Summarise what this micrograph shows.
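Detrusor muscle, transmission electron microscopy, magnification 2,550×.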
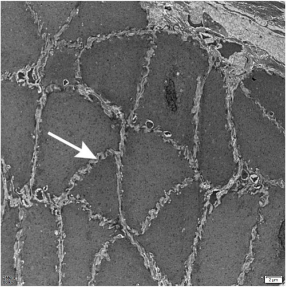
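Many cell profiles are cut across and packed side by side like tiles, each roughly polygonal and filled with even, finely textured grey cytoplasm without any banding. Thin pale clefts with wavy, beaded membranes separate neighbouring cells, making a net-like pattern across the field. One profile contains a dark oval nucleus; most others are cut beside their nuclei. Loose connective tissue with fibres lies at the top edge.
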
